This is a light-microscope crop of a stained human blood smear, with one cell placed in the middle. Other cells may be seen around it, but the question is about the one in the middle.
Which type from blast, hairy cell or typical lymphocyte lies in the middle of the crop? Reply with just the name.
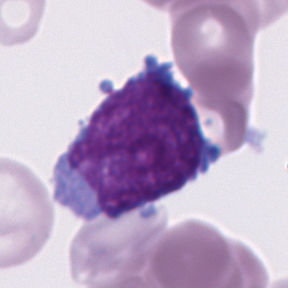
blast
